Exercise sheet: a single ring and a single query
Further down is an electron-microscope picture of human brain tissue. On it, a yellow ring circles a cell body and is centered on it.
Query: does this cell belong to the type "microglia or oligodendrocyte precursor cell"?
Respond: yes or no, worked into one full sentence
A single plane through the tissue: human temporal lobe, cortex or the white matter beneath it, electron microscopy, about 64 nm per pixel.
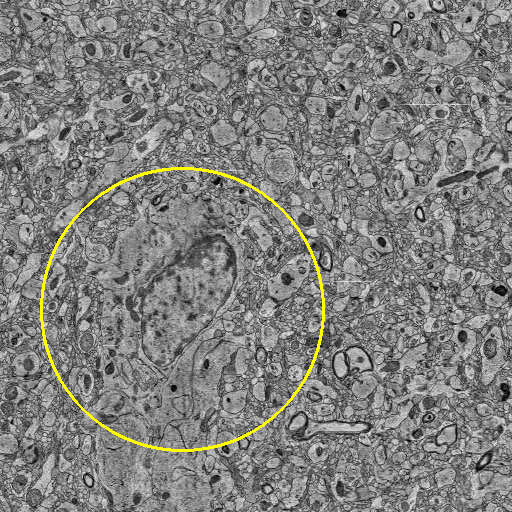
Yes, this ringed cell, found at the center of the ring in the picture, is of that type.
